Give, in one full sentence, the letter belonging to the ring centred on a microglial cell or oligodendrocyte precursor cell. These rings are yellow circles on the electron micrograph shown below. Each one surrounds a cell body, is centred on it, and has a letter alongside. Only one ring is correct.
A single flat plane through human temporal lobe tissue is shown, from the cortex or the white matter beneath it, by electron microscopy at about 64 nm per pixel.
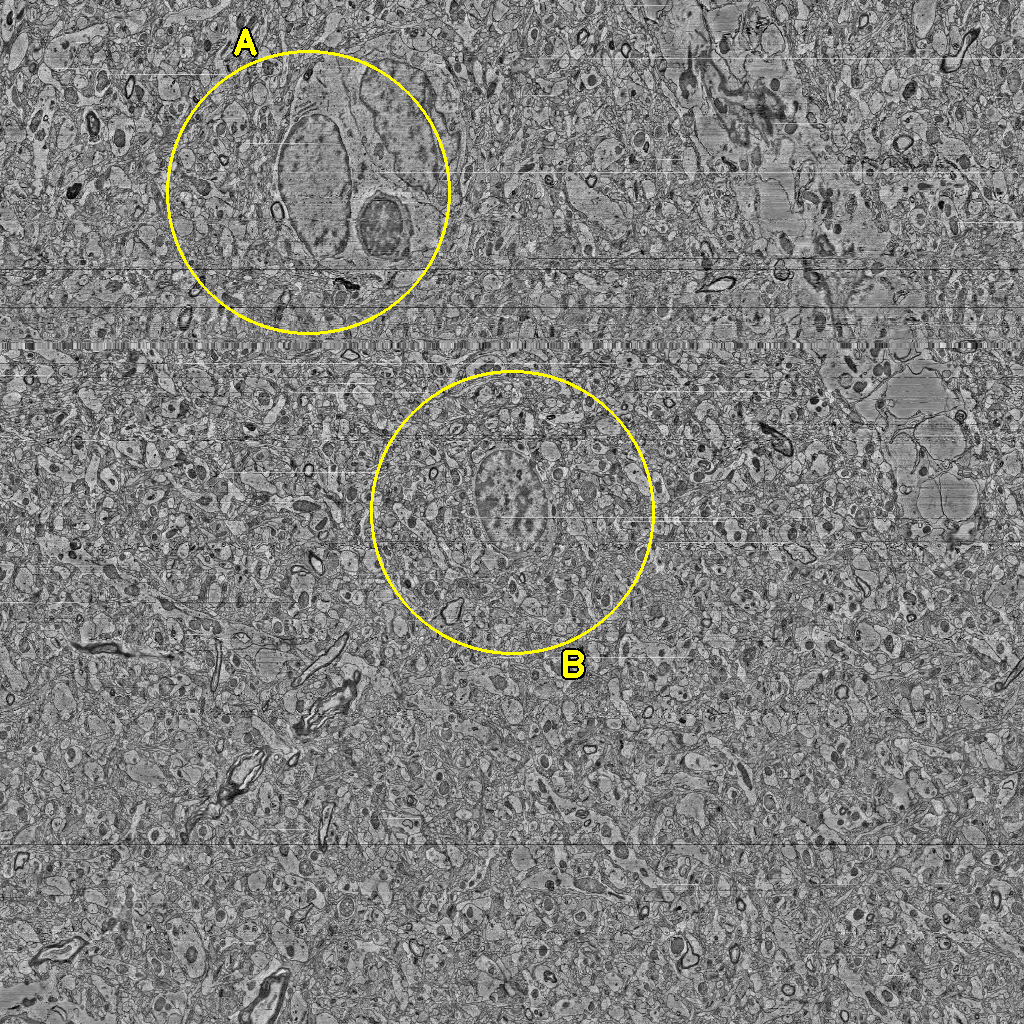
My answer is A, the ring centred on the cell asked for.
